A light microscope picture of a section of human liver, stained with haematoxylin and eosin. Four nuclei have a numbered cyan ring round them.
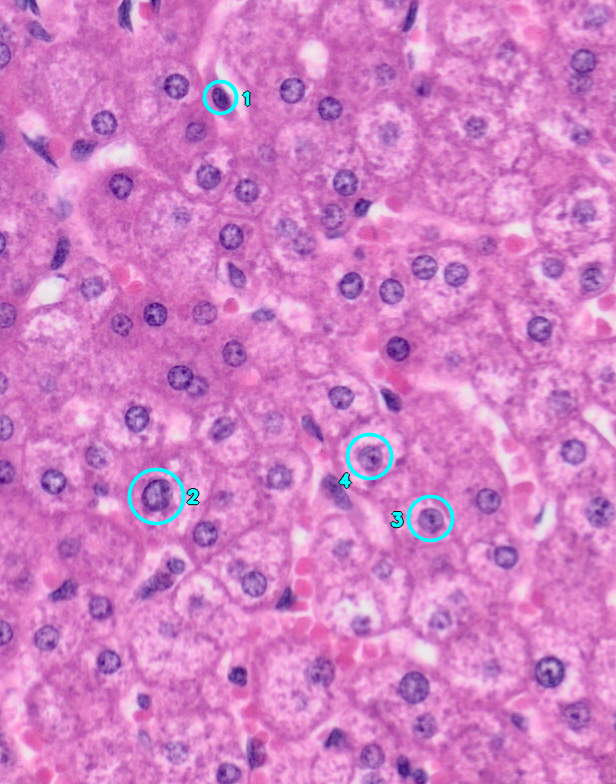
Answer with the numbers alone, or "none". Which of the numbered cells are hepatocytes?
2, 3, 4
